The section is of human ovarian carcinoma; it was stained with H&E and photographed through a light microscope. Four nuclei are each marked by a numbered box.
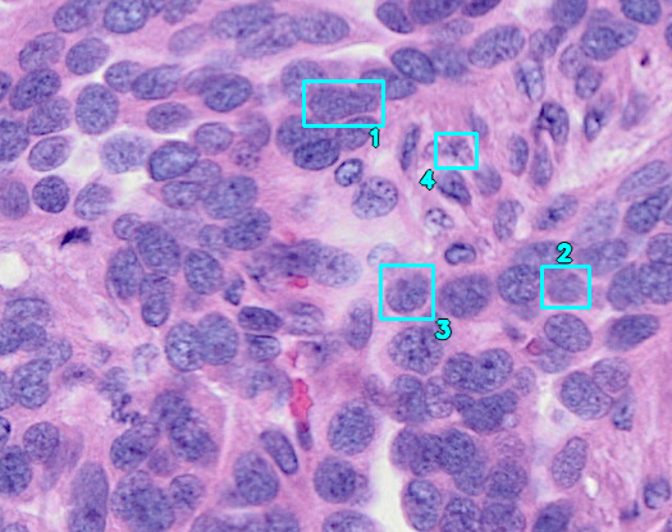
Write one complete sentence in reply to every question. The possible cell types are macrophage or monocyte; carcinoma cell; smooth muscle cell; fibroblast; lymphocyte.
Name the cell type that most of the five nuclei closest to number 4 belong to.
Of the five nuclei nearest to number 4, most belong to fibroblasts.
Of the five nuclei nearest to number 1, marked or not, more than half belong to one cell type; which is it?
Around number 1, most of the five nearest nuclei are those of carcinoma cells.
